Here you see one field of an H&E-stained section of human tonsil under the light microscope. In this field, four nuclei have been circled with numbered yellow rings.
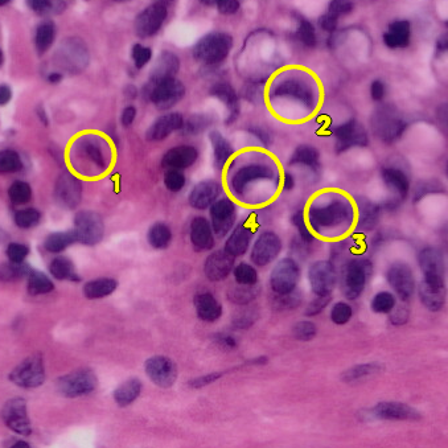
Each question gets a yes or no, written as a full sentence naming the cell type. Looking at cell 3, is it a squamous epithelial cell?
Yes, the numbered nucleus 3 is that of a squamous epithelial cell.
